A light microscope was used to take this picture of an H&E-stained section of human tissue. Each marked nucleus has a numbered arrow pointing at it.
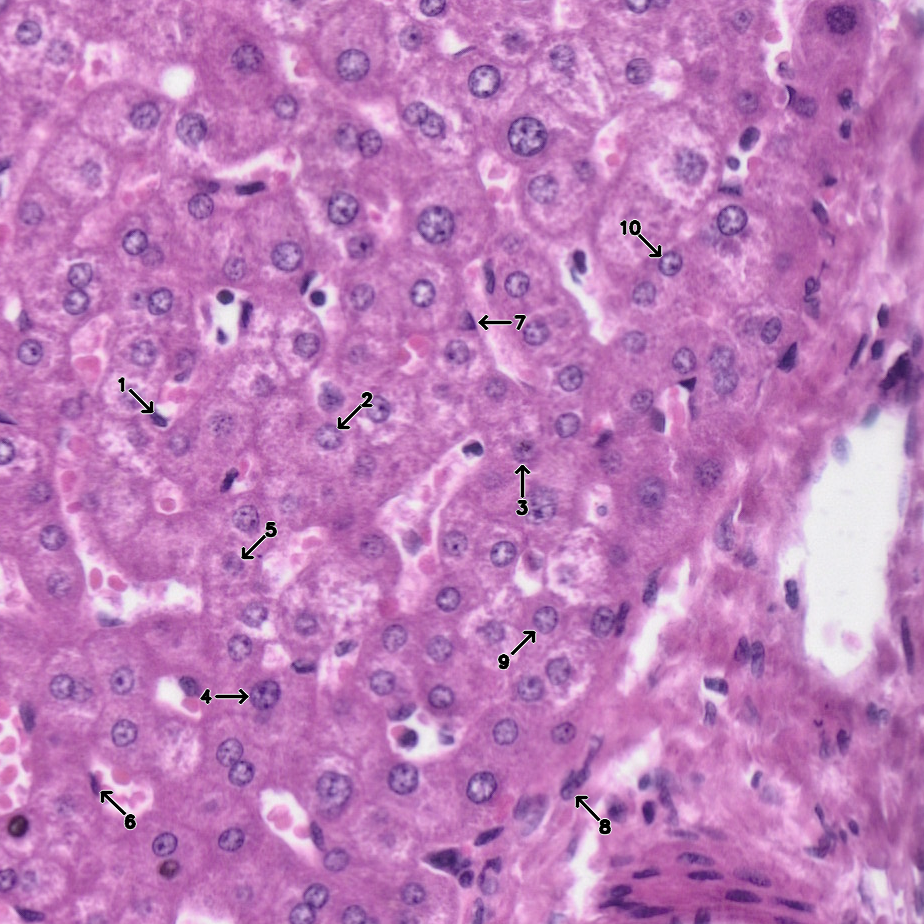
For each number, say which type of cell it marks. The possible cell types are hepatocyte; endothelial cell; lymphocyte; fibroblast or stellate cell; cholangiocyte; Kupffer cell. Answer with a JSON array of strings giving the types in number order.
["endothelial cell", "hepatocyte", "hepatocyte", "hepatocyte", "hepatocyte", "endothelial cell", "fibroblast or stellate cell", "fibroblast or stellate cell", "hepatocyte", "hepatocyte"]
